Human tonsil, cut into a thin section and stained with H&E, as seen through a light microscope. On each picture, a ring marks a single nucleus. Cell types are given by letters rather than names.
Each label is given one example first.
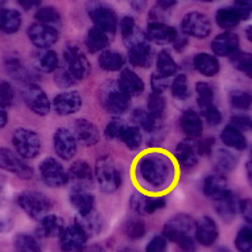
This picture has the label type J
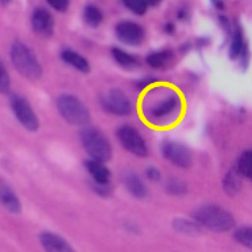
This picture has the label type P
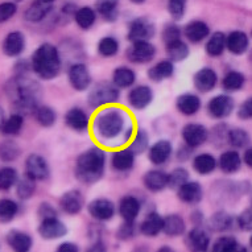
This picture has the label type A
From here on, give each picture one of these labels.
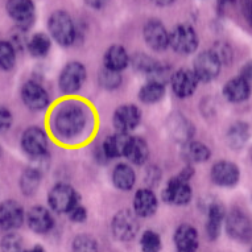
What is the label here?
type J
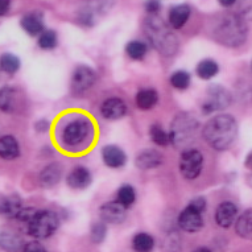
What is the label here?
type J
